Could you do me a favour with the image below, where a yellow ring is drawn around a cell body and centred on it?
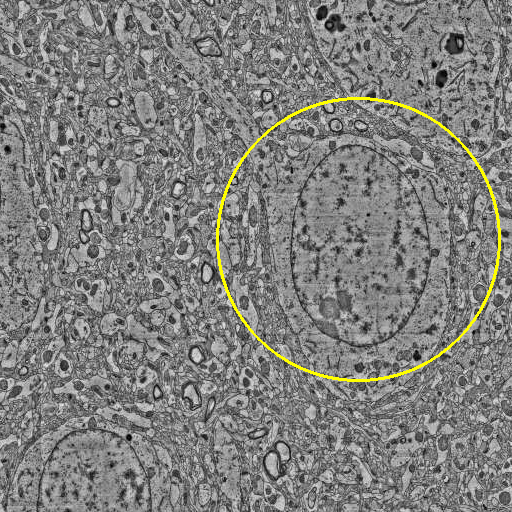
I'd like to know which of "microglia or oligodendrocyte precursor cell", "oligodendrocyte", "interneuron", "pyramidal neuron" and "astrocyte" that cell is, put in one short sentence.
The cell at the ring's centre is a pyramidal neuron.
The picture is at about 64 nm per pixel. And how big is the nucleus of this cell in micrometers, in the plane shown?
The ringed cell's nucleus measures approximately 13 by 9 micrometres in this plane.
